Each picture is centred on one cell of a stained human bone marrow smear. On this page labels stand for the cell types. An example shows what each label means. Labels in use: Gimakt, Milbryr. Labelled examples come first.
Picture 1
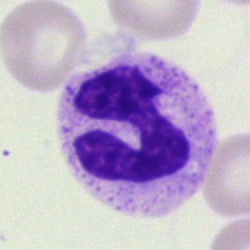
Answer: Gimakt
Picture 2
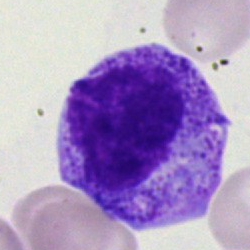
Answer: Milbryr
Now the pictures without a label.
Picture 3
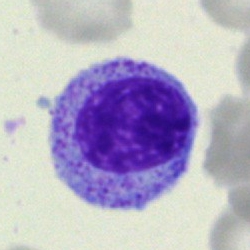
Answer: Milbryr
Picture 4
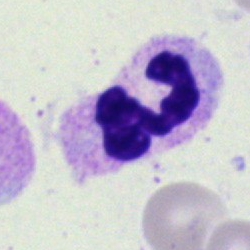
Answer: Gimakt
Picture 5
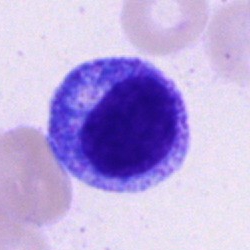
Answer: Milbryr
